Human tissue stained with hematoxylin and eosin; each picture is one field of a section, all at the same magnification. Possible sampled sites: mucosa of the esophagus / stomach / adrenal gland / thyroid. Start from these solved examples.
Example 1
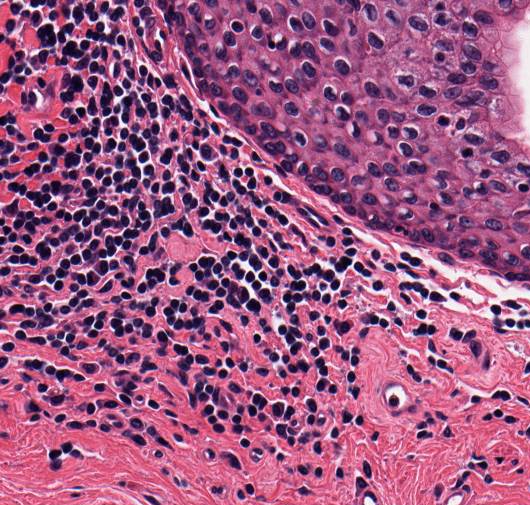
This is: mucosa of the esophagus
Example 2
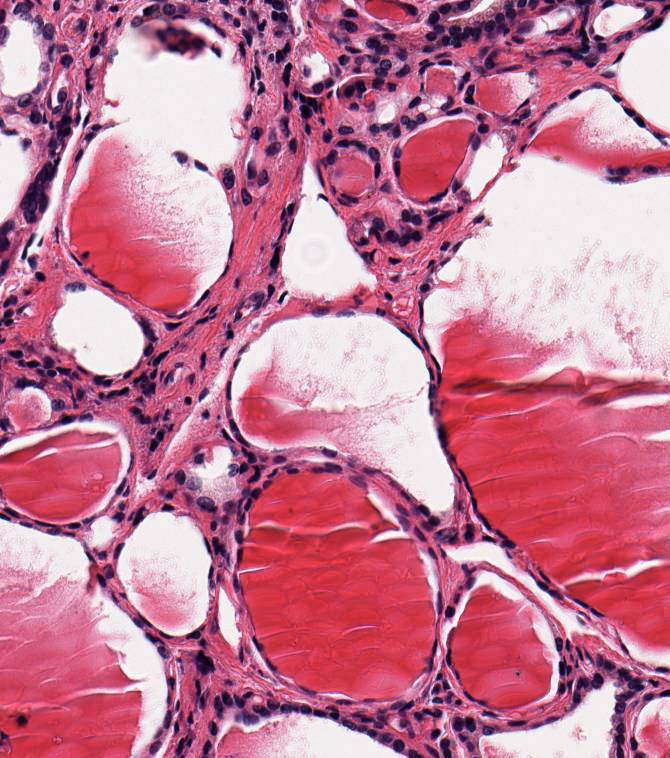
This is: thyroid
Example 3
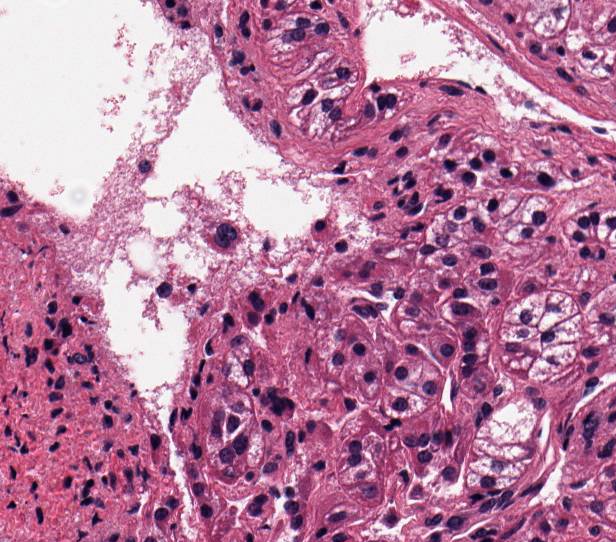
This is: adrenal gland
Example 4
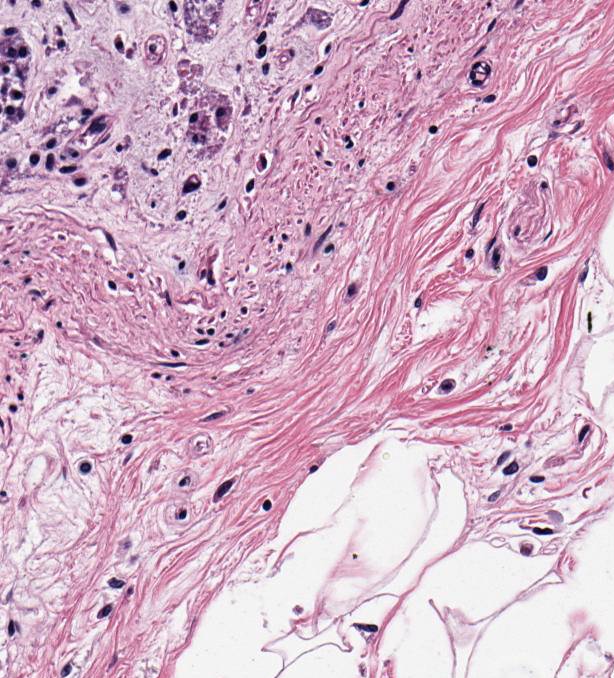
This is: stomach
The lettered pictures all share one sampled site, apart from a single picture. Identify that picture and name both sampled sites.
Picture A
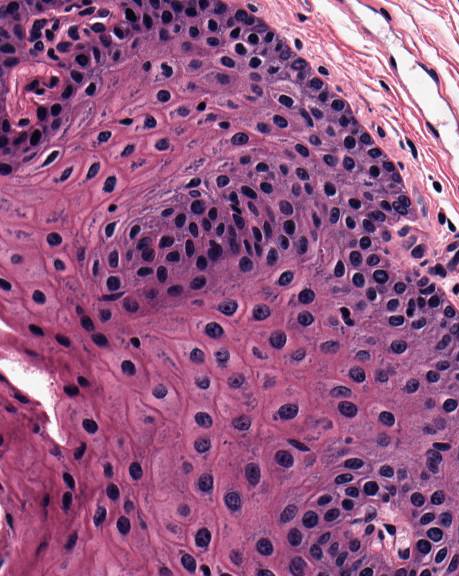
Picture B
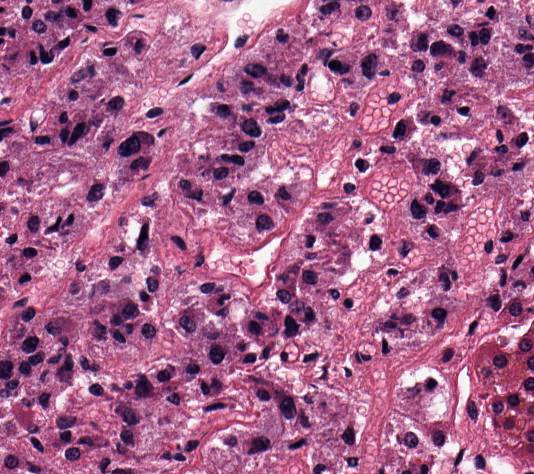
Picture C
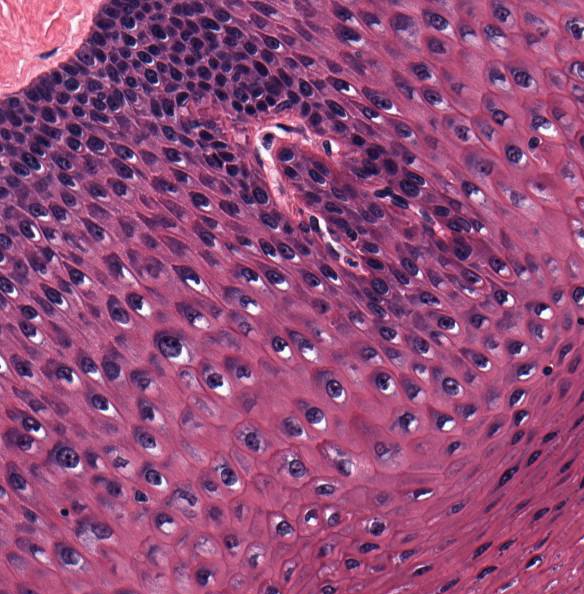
Picture B: adrenal gland. All others: mucosa of the esophagus.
